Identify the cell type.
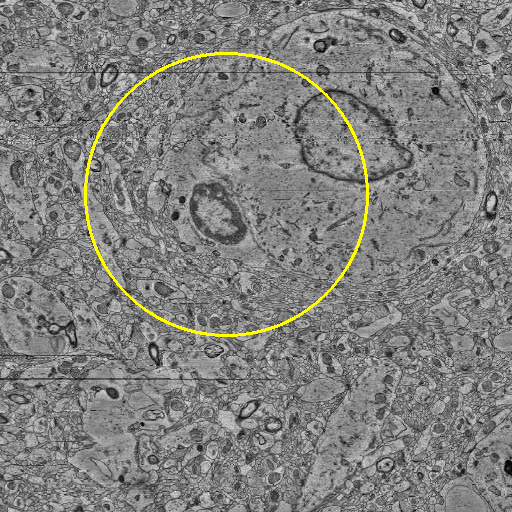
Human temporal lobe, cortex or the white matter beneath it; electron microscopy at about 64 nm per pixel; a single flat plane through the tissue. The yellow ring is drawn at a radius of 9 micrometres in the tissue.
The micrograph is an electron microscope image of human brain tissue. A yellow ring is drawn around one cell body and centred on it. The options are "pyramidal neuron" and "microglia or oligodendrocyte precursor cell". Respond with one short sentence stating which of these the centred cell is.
The cell body in the ring belongs to a microglial cell or oligodendrocyte precursor cell.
